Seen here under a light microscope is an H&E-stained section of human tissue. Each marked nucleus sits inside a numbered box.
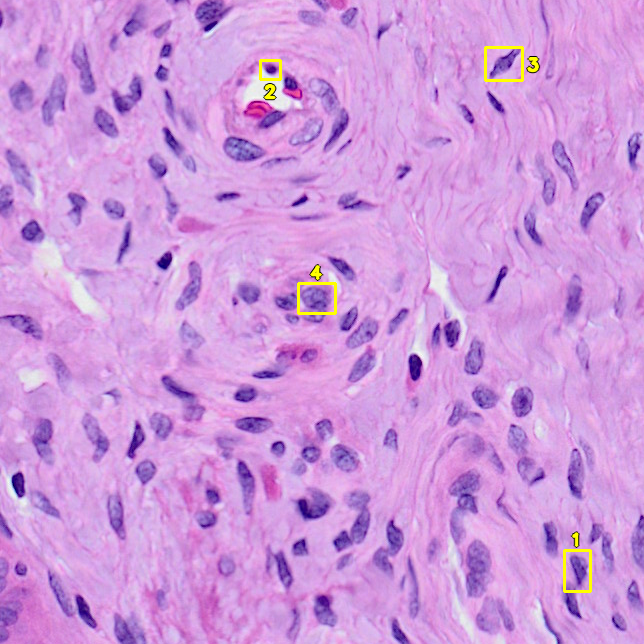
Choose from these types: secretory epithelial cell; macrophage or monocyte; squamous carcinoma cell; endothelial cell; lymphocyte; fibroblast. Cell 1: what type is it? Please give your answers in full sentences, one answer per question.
Cell 1 of the marked set is a fibroblast.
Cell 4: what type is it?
Corresponding to an endothelial cell is the cell labelled 4.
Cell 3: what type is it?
The cell carrying label 3 is identified as a fibroblast.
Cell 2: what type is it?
The cell marked with the number 2 is an endothelial cell.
